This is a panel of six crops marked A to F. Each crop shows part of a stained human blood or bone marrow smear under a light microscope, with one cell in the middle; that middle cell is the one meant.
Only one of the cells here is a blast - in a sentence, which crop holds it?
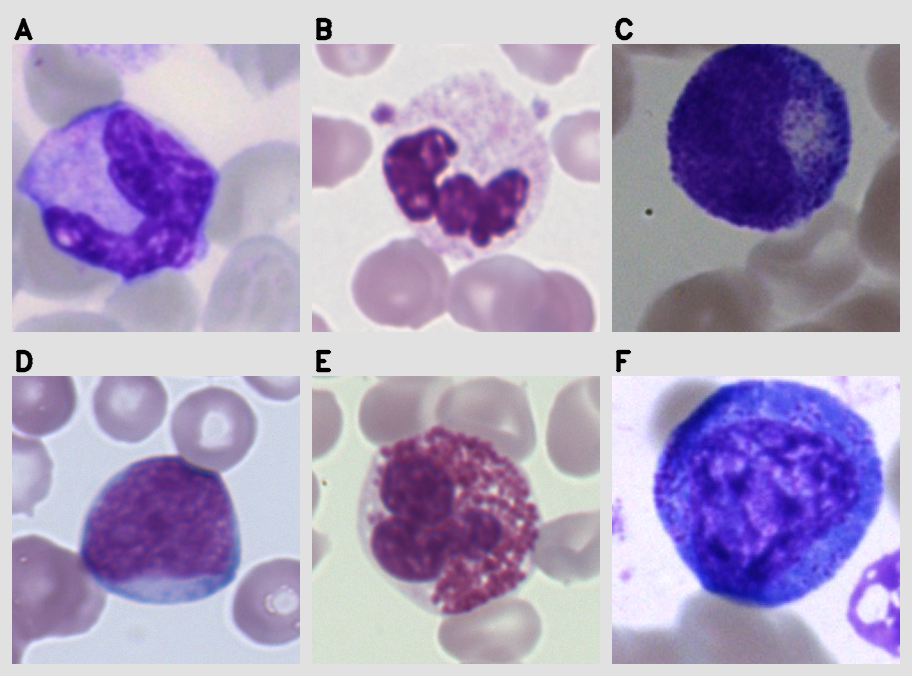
Crop D is the crop that displays a blast.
